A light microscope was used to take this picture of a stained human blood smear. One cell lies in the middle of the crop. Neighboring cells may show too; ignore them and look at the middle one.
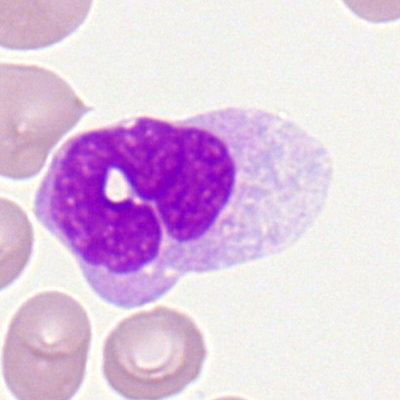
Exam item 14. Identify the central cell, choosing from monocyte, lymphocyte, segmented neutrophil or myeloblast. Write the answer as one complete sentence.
The crop centres on a single cell, and that cell is a monocyte.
